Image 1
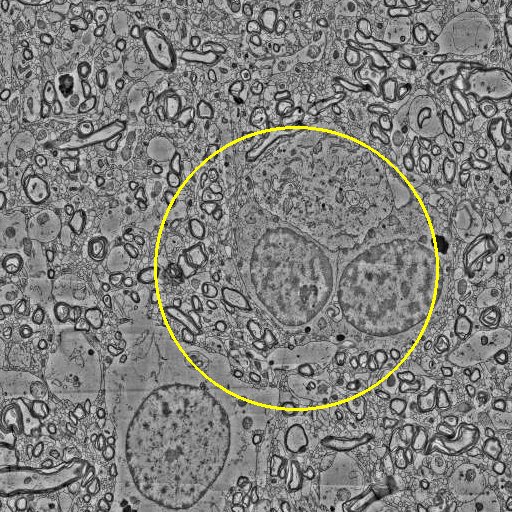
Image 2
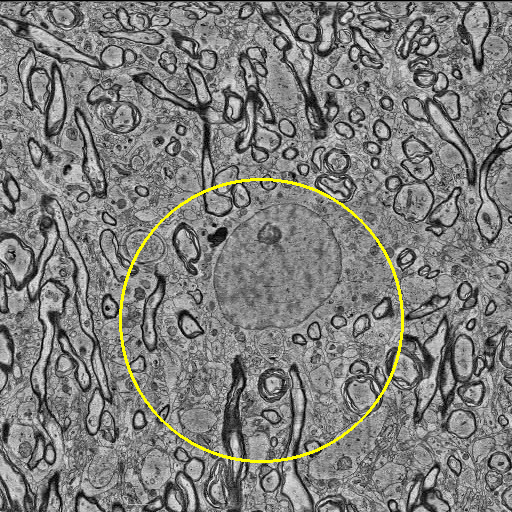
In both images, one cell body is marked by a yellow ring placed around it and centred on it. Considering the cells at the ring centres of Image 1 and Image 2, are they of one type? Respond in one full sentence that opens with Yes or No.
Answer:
Yes, a single type applies to the ring-centred cells of both Image 1 and Image 2.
